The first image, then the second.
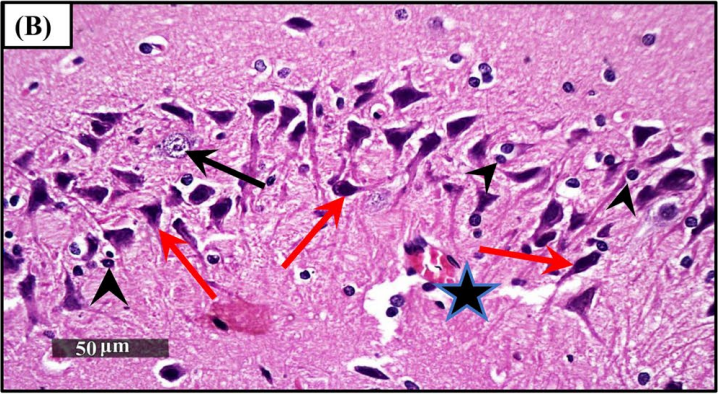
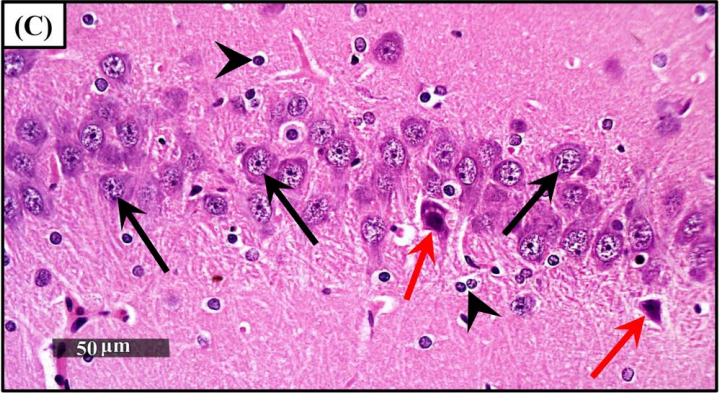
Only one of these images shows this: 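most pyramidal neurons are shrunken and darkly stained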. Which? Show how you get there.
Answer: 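Second image: most neurons are large with pale round nuclei and nucleoli; only a few dark shrunken cells. First image: most neurons are dark, angular and shrunken, without a visible nucleus. The answer: the first image.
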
